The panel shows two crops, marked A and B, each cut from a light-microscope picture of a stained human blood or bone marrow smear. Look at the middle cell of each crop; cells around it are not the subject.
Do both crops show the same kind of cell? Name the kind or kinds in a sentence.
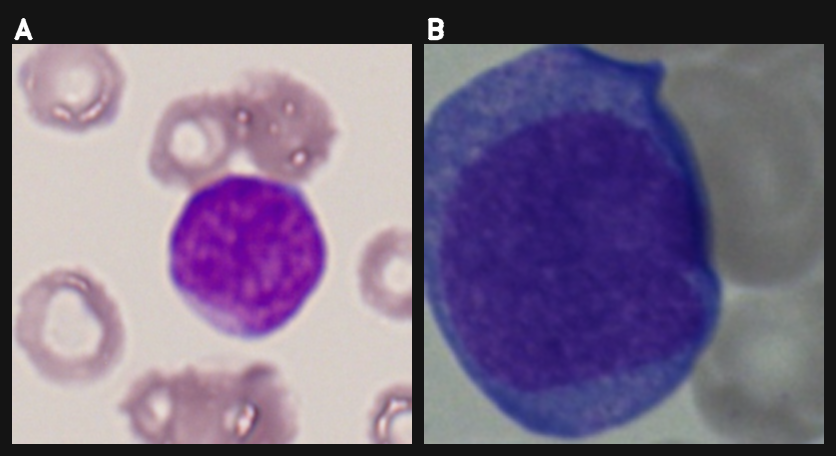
Yes, the two crops show blasts, both of them.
